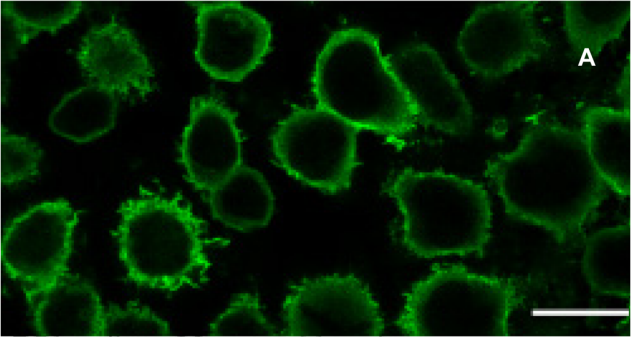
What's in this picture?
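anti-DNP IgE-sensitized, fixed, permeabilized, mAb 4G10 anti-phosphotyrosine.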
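These are cultured mast cells, seen in a single optical section as a loose crowd of rounded and oval cells of fairly similar size. The green label lies mostly at the edge of each cell, forming a bright ring that traces the cell outline, while the interior stays much darker with only a faint haze. On several cells the rim is uneven, with many short, fine projections and ruffles sticking out from the surface, giving a fringed look. A few cells appear partly cut or touching their neighbours, and between the cells the background is black.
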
